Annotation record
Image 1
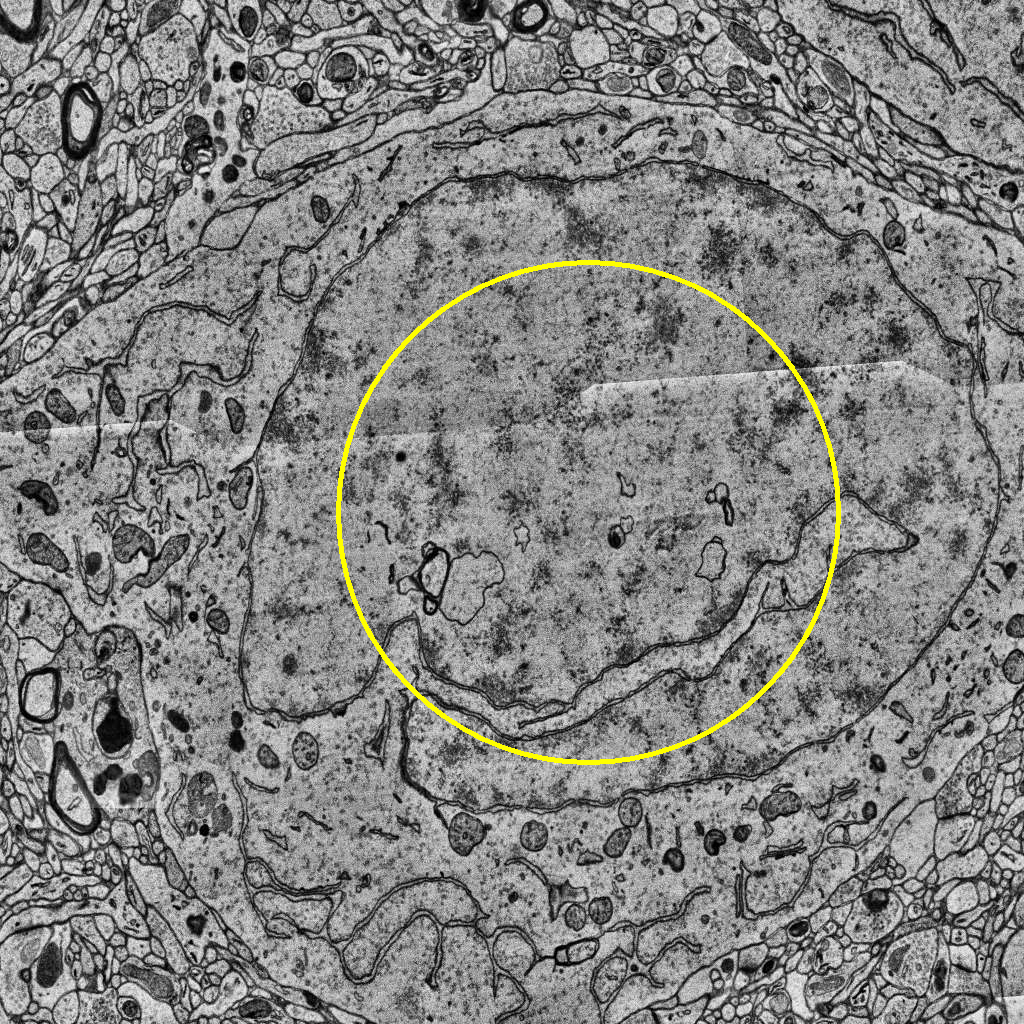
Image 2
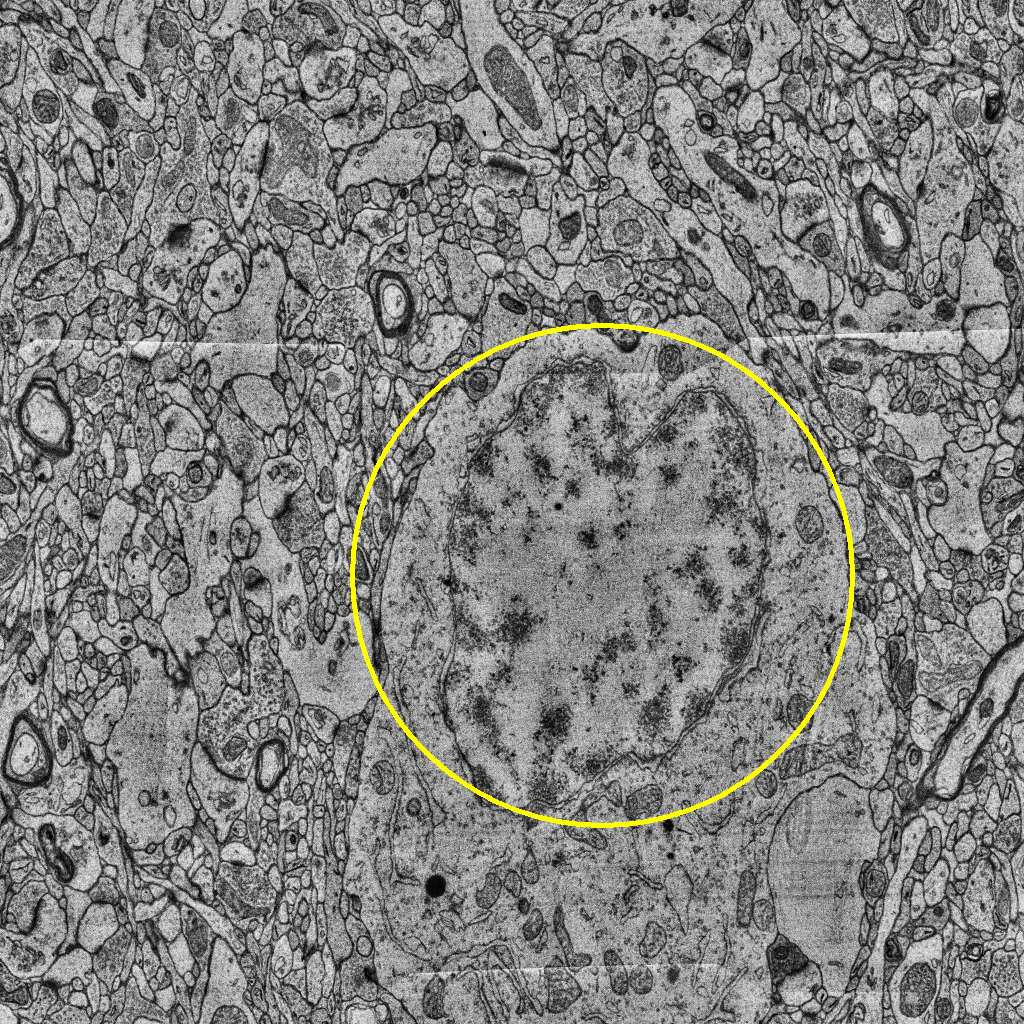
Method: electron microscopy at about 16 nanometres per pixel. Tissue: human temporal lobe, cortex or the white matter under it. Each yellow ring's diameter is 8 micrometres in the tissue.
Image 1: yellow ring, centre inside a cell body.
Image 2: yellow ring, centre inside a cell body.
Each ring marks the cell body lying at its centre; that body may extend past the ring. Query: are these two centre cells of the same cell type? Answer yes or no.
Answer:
yes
